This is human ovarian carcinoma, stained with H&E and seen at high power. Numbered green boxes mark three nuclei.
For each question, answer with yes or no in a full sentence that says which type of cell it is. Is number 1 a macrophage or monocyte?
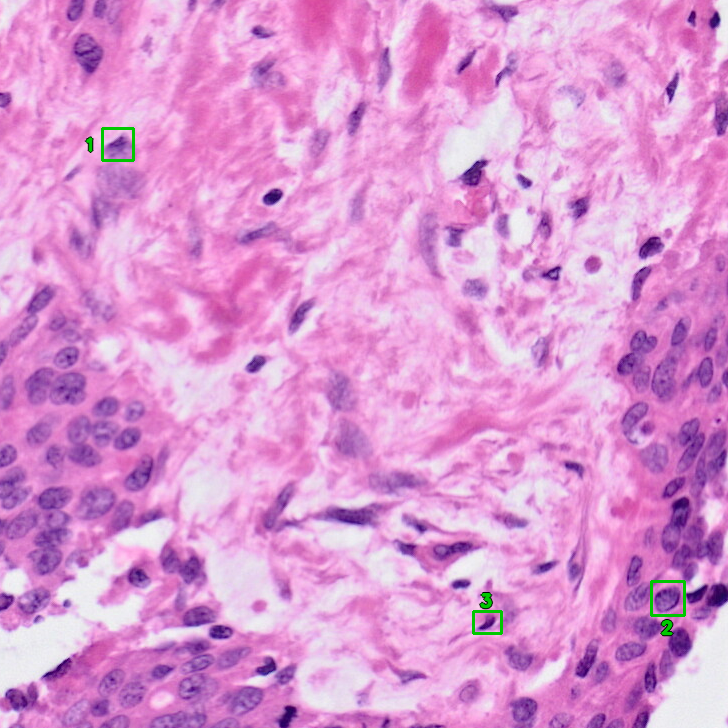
No, number 1 is assigned to a fibroblast, not to a macrophage or monocyte.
